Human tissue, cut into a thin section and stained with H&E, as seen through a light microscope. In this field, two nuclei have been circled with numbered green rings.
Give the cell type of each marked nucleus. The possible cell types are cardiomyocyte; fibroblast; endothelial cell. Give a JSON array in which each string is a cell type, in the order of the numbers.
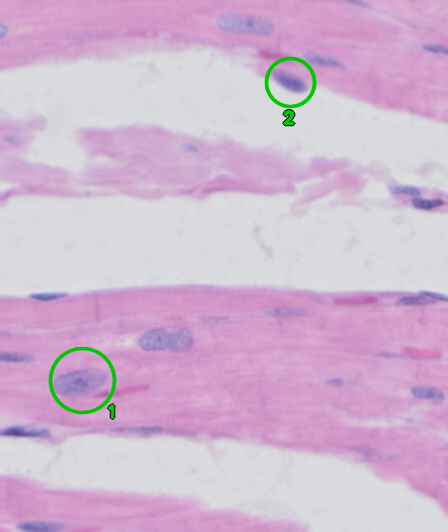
["cardiomyocyte", "fibroblast"]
